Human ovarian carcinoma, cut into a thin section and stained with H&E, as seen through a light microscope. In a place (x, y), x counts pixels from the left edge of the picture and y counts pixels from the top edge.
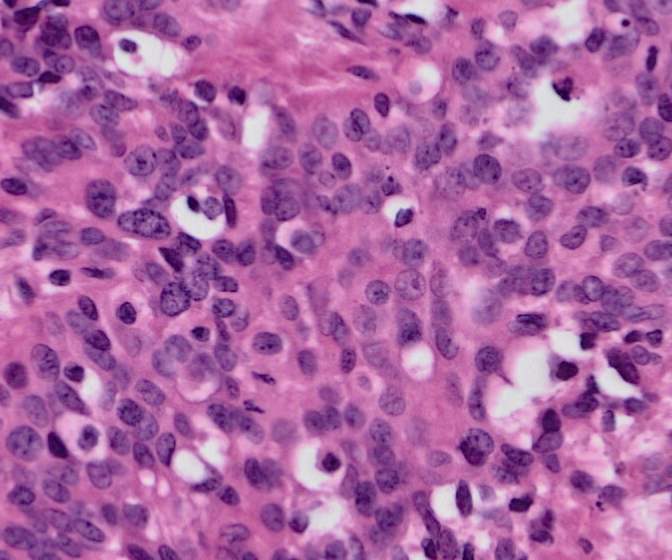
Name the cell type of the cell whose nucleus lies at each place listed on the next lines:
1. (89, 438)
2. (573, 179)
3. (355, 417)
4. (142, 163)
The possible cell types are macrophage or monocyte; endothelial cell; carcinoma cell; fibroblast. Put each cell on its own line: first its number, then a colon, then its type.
1: macrophage or monocyte
2: carcinoma cell
3: carcinoma cell
4: carcinoma cell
